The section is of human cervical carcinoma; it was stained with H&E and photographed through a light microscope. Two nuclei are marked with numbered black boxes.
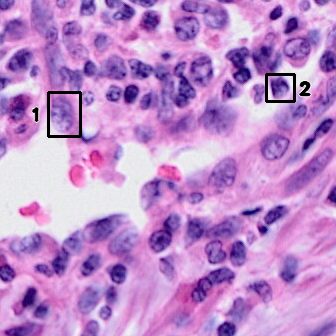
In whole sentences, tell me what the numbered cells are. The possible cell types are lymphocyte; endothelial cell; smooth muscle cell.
Cell 1 is an endothelial cell. Cell 2 is a lymphocyte.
